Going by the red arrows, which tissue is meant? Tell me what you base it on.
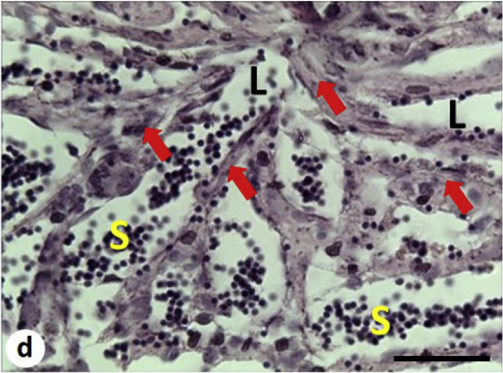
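Interstitial tissues. The arrows point to broad pinkish bands of elongated cells running between the spaces holding small dark round cells. The bands separate the tubular spaces from one another.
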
